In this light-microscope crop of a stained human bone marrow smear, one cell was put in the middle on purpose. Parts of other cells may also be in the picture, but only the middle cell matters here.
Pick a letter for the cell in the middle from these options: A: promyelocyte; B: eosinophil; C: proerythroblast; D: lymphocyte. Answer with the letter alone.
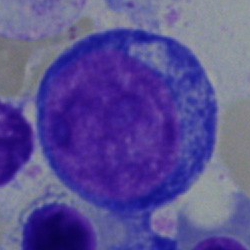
C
